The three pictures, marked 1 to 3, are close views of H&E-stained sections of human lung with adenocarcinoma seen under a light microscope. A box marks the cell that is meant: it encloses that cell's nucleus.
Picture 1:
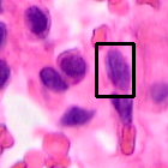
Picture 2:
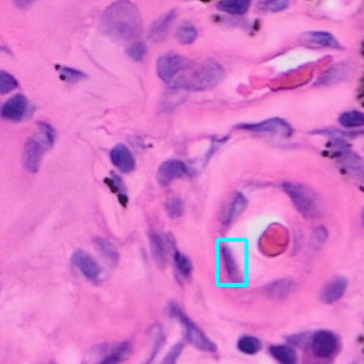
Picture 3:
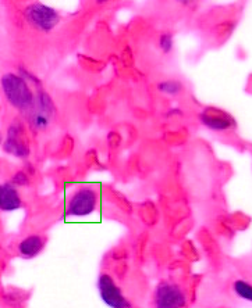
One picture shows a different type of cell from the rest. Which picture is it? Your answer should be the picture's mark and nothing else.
2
